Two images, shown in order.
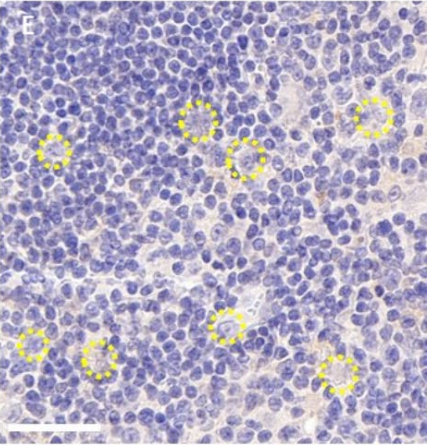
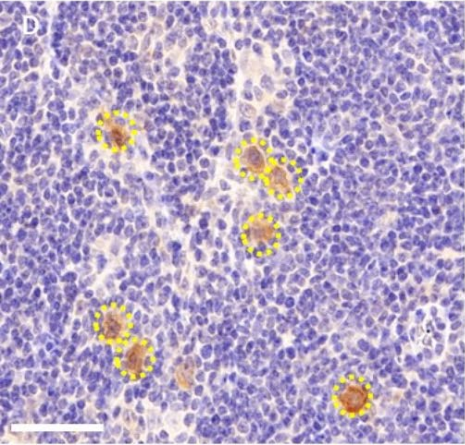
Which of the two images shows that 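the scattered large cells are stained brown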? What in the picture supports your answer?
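The second image. First image: the circled large cells are pale, without brown staining. Second image: the circled large cells are filled with brown stain.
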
